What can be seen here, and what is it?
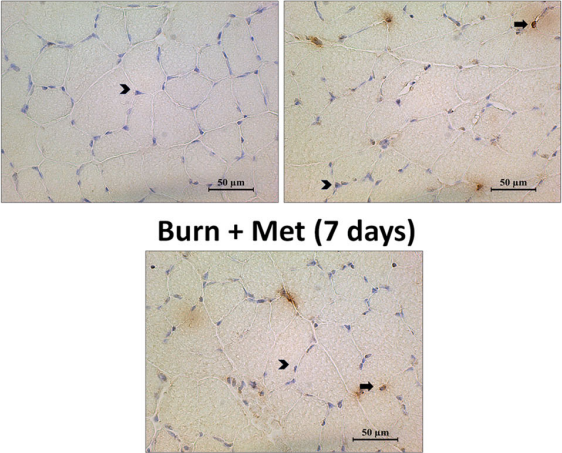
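These are cross-sections of skeletal muscle, with polygonal fibers of fairly even size packed closely together and separated by thin pale boundaries. Small flattened blue nuclei lie at the edges of the fibers and in the narrow spaces between them. In two of the images some nuclei and small patches between fibers are stained brown, whereas in the first image the nuclei are blue only.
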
